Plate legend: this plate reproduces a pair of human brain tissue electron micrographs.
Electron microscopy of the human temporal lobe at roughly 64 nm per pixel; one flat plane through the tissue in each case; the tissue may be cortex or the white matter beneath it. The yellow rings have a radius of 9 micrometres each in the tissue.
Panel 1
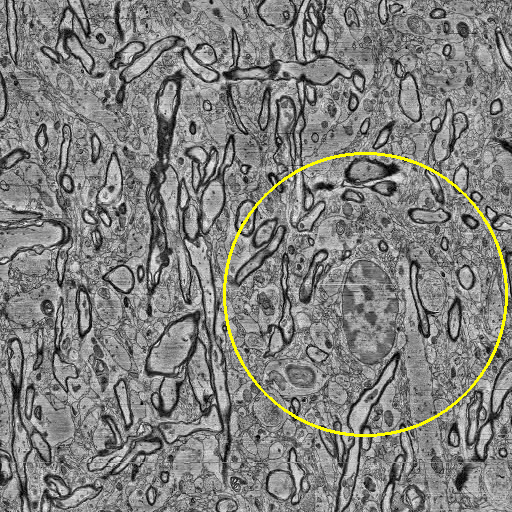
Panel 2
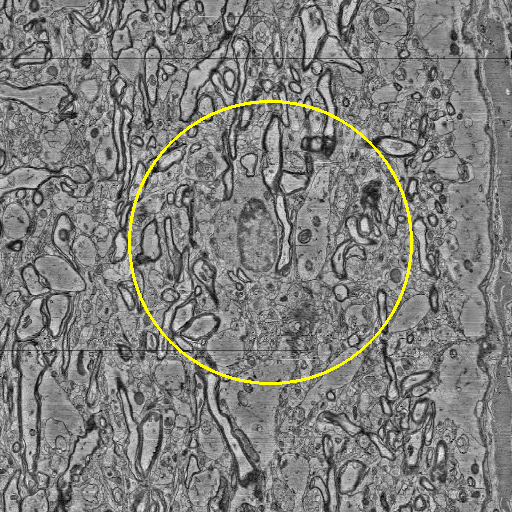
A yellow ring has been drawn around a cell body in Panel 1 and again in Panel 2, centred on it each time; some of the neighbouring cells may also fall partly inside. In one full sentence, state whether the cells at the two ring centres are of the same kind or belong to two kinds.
The ring-centred cells of Panel 1 and Panel 2 belong to two kinds.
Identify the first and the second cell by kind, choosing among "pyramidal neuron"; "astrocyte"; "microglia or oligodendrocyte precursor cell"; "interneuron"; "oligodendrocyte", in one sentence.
The one in the first picture is a microglial cell or oligodendrocyte precursor cell, while the one in the second is an oligodendrocyte.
